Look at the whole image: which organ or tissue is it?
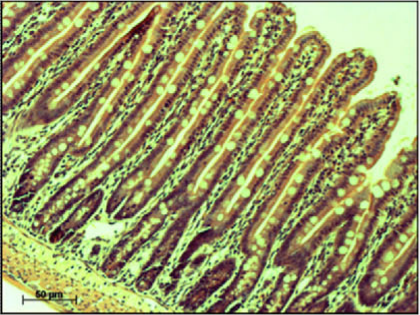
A: Small intestine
